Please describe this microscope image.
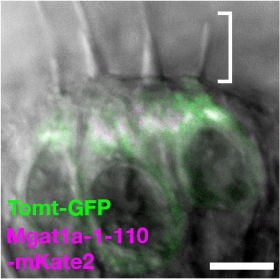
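Row of flask-shaped hair cells of the crista with large oval cell bodies and long hair bundles projecting upward from the apical surface. Green and magenta signals overlap in a band of bright clusters just below the apical surface, above the nuclei, while the bundles themselves carry little signal.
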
